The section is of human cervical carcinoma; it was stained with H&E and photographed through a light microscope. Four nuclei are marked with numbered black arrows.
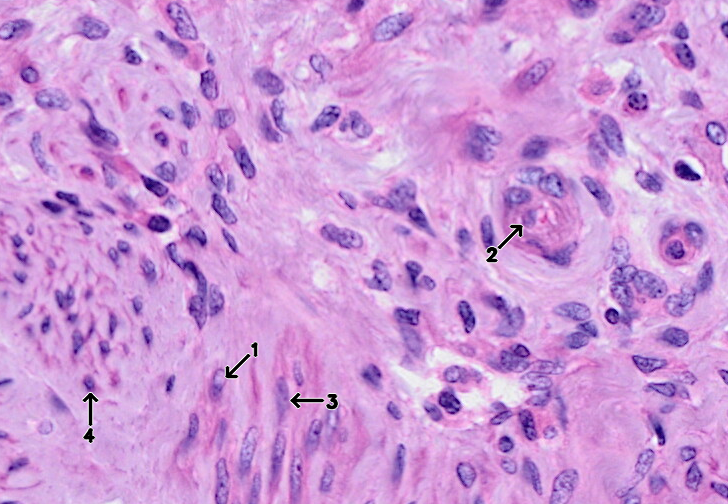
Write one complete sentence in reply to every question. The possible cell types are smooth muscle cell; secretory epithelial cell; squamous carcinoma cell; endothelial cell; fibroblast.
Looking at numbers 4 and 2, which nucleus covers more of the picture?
At about 2 times the area of nucleus 4, nucleus 2 is the larger of the two.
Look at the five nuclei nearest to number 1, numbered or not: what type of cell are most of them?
The majority of the five nuclei closest to number 1 belong to smooth muscle cells.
